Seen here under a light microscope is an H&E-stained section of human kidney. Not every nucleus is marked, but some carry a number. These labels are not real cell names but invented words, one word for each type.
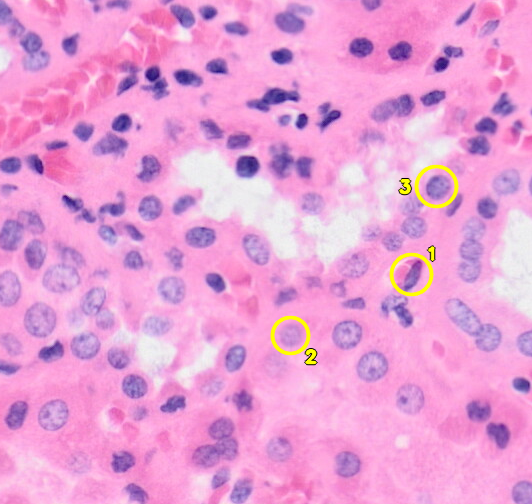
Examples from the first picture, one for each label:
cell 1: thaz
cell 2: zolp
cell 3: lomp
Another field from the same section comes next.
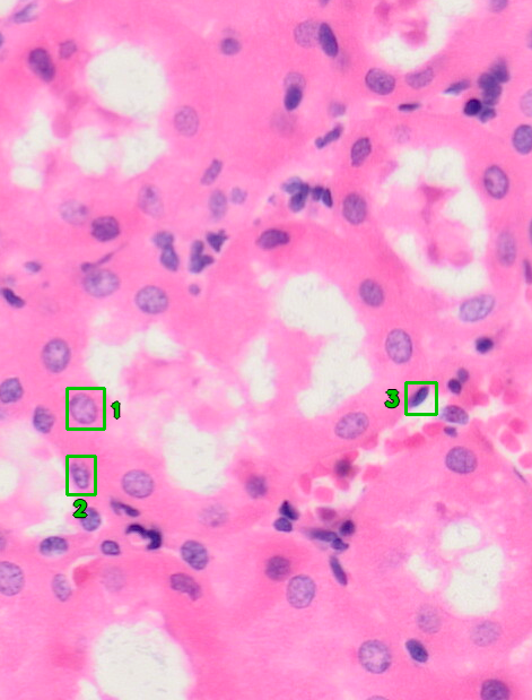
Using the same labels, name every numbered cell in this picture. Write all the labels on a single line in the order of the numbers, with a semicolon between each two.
zolp; lomp; thaz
